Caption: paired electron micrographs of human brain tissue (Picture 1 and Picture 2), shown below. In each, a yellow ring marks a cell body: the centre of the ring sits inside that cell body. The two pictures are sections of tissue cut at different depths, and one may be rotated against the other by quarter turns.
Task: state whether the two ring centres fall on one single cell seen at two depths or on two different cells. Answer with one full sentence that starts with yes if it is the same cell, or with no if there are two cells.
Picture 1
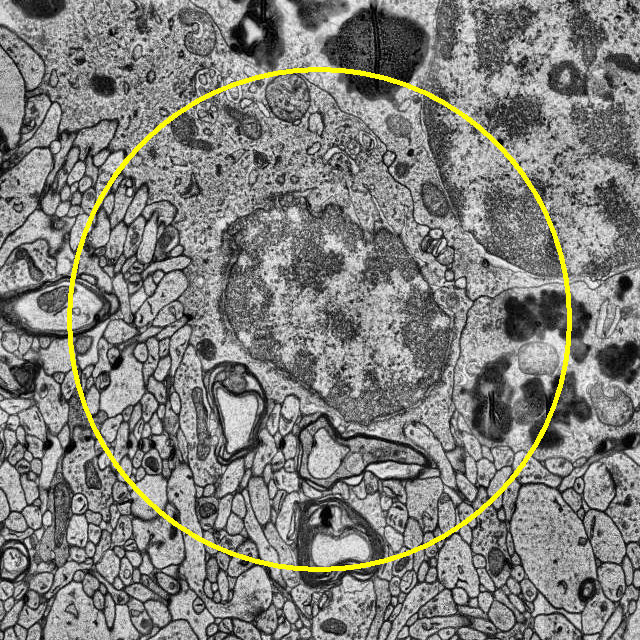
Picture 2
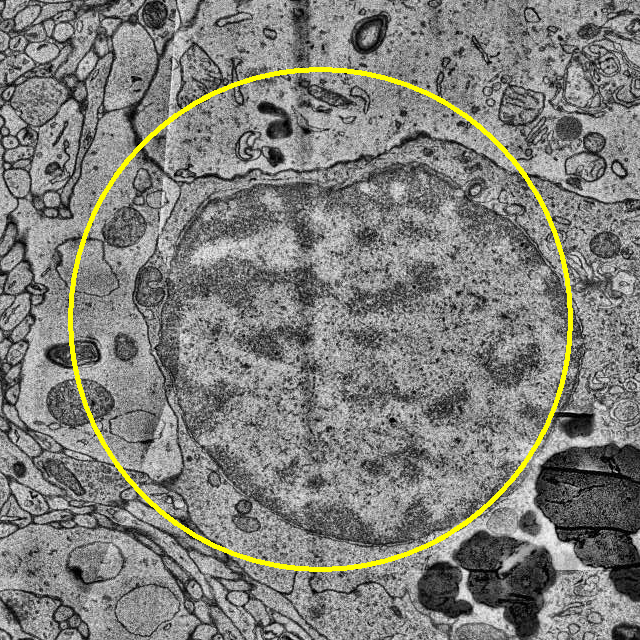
No, the rings do not mark the same cell.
